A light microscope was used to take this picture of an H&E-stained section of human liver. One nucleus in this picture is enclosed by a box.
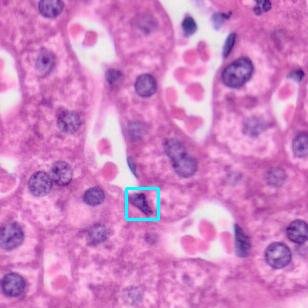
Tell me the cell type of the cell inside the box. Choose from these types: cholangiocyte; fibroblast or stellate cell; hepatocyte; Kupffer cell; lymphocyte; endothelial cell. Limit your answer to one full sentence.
In this tissue section, the cell inside the box is to be classed as a fibroblast or stellate cell.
